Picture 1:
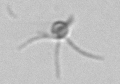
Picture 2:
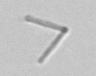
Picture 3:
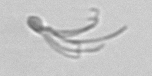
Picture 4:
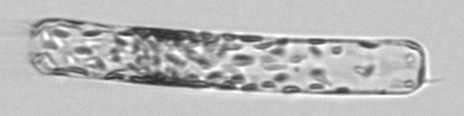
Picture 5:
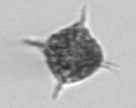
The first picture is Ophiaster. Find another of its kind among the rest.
Picture 3.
